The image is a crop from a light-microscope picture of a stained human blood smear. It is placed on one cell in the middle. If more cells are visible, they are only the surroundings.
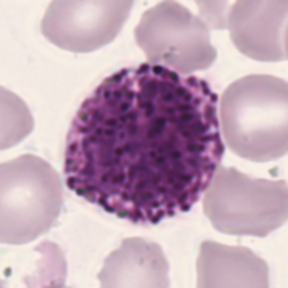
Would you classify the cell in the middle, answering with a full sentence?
The cell of interest, located centrally, is a basophil.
